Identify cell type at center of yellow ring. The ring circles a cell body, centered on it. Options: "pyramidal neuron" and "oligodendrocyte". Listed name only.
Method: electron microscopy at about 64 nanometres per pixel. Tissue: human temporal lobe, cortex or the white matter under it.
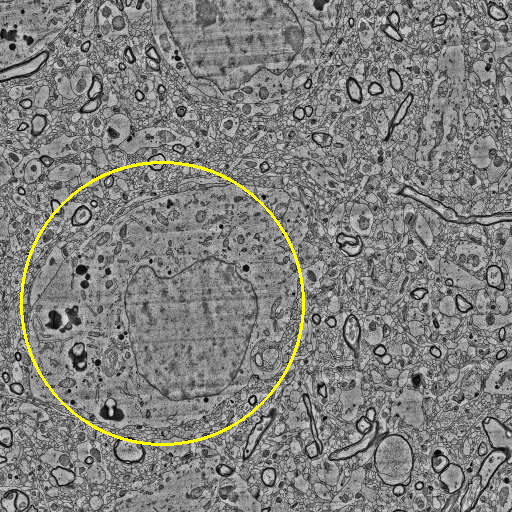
pyramidal neuron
